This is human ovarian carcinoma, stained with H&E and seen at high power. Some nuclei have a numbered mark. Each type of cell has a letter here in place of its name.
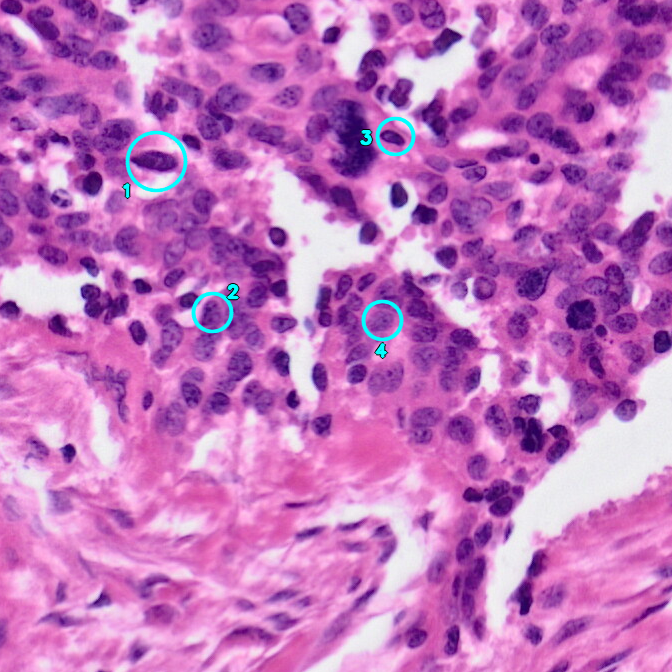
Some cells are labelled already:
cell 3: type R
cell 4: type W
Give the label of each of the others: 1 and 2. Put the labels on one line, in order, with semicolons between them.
type W; type W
